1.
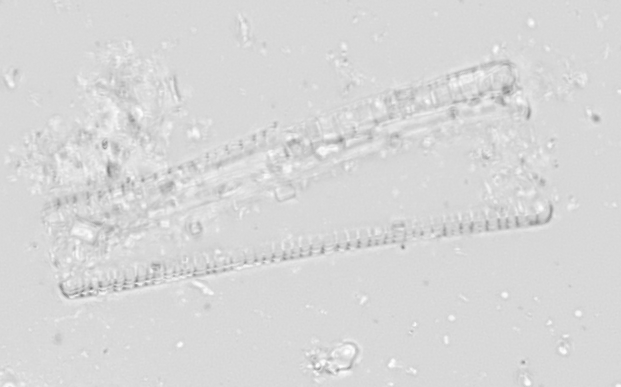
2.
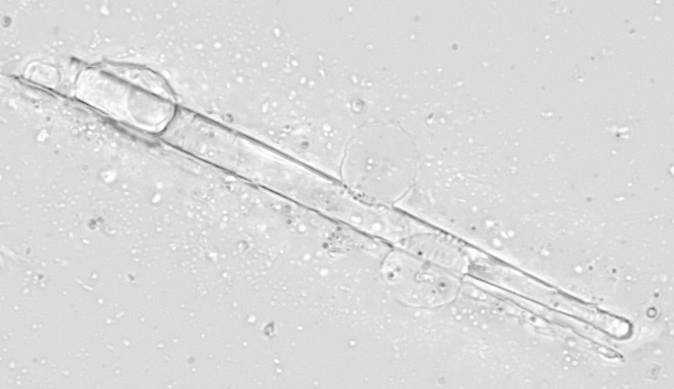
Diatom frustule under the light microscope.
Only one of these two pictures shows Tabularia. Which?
Picture 2.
